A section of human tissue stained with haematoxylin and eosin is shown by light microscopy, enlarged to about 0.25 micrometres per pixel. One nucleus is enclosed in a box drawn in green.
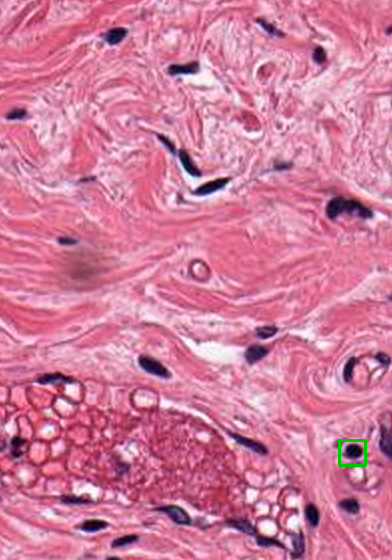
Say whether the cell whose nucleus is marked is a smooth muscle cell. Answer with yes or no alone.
no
